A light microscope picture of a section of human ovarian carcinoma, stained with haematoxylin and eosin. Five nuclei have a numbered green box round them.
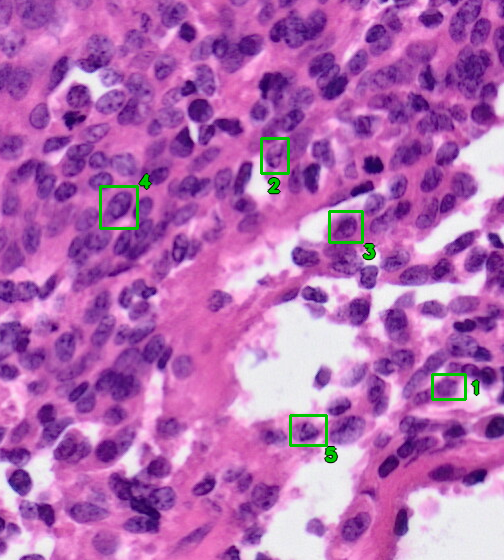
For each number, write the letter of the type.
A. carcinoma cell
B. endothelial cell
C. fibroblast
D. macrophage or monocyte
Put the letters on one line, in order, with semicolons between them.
A; D; A; A; D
